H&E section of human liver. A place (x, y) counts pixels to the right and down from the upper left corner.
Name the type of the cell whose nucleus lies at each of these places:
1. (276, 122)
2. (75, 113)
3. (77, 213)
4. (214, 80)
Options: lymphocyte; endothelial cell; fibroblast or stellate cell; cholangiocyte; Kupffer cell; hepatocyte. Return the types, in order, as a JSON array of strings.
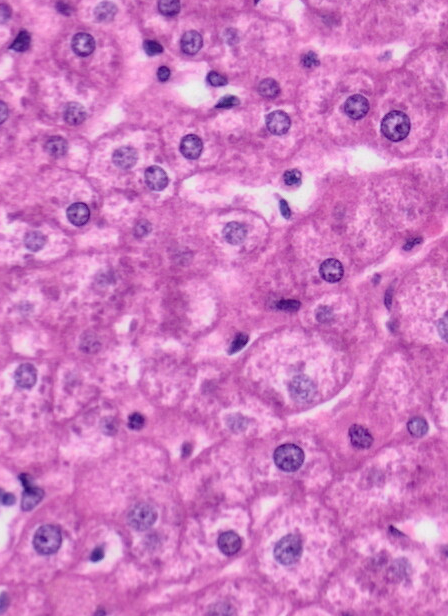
["hepatocyte", "hepatocyte", "hepatocyte", "Kupffer cell"]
